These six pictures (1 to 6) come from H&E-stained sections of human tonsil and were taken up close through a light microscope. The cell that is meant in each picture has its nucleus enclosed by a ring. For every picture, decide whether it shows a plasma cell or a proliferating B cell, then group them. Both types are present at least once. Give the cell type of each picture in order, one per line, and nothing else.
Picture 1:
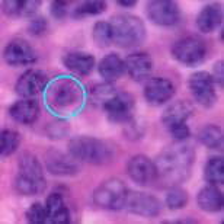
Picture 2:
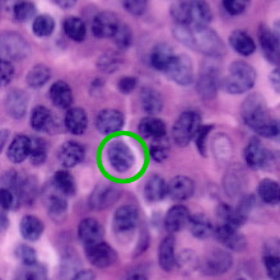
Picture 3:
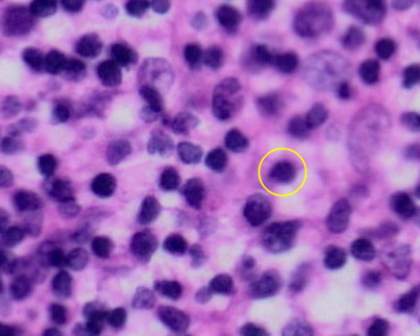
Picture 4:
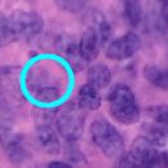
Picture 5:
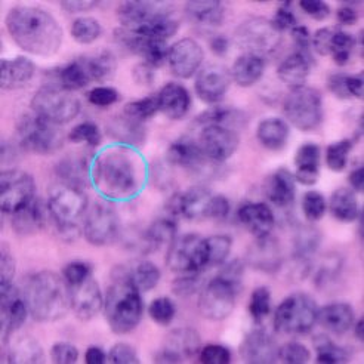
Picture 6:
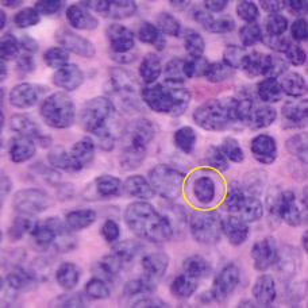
plasma cell
plasma cell
proliferating B cell
proliferating B cell
proliferating B cell
proliferating B cell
